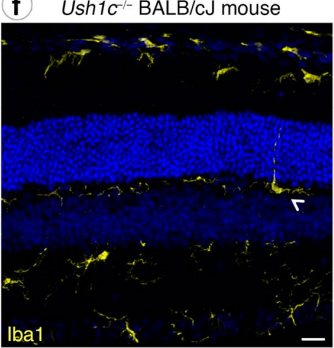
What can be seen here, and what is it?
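This retinal cross-section shows microglial cells in yellow among blue-stained nuclear layers. The outer nuclear layer forms a thick band of tightly packed round nuclei, the inner nuclear layer a thinner band below it, with dark plexiform layers between and beneath. Branched microglial cells with fine ramifying processes lie in the inner plexiform layer and along the outer plexiform band. Others lie above the outer nuclear layer in the photoreceptor segment region. One cell at the lower edge of the outer nuclear layer sends a long thin process straight up through the packed nuclei.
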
